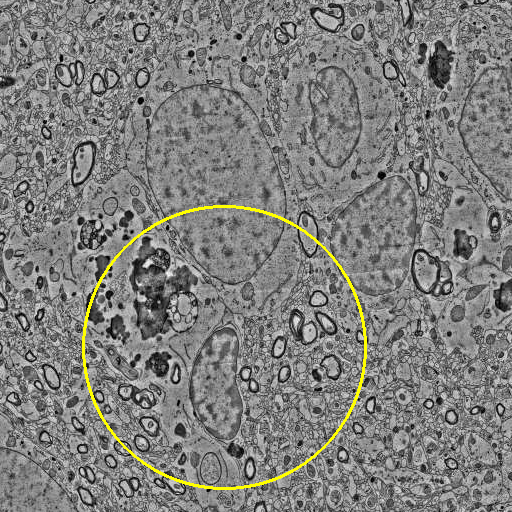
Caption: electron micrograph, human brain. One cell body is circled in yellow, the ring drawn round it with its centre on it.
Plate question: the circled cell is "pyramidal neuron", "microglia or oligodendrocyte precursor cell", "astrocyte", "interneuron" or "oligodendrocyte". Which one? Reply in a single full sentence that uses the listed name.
The yellow ring on the plate is centred on a microglial cell or oligodendrocyte precursor cell, going by the listed names.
